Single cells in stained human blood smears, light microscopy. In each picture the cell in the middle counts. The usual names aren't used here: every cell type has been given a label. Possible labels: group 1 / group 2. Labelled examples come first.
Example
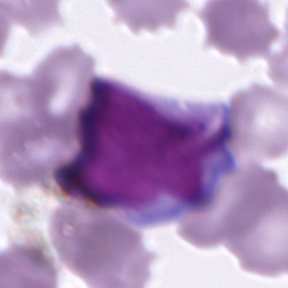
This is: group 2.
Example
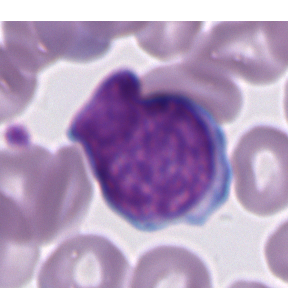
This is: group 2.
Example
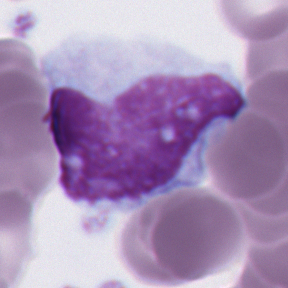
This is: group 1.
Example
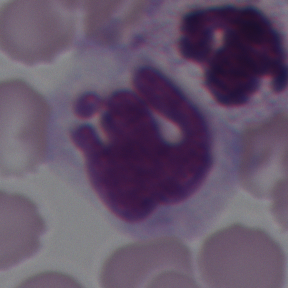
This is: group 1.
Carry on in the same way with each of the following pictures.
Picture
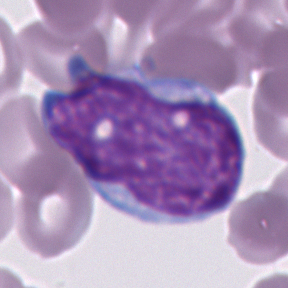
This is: group 2.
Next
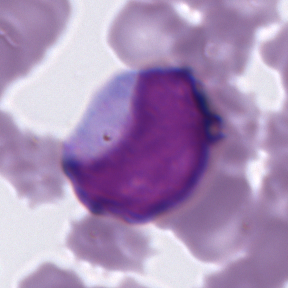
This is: group 2.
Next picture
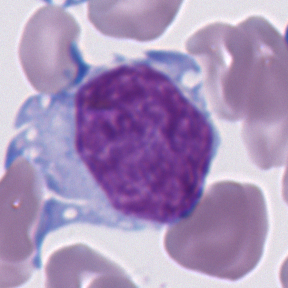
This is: group 2.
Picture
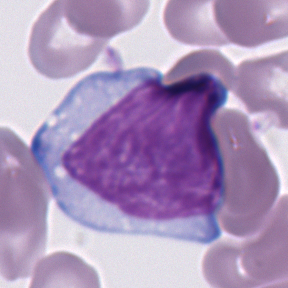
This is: group 2.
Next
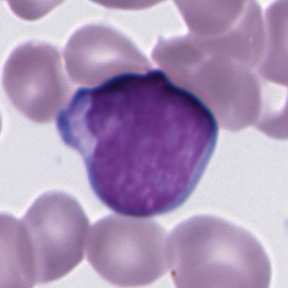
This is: group 2.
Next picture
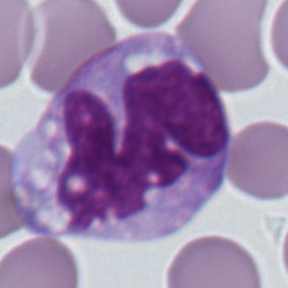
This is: group 1.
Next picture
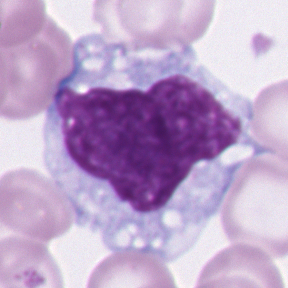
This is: group 1.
